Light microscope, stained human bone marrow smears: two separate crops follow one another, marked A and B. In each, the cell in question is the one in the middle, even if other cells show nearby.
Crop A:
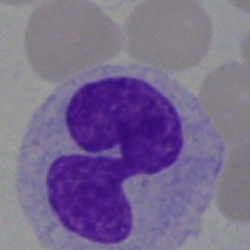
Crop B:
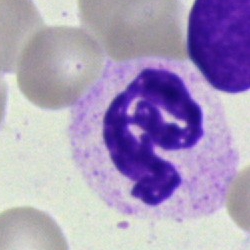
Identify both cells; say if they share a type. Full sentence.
No, the middle of crop A shows a monocyte, and the middle of crop B shows a neutrophil.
